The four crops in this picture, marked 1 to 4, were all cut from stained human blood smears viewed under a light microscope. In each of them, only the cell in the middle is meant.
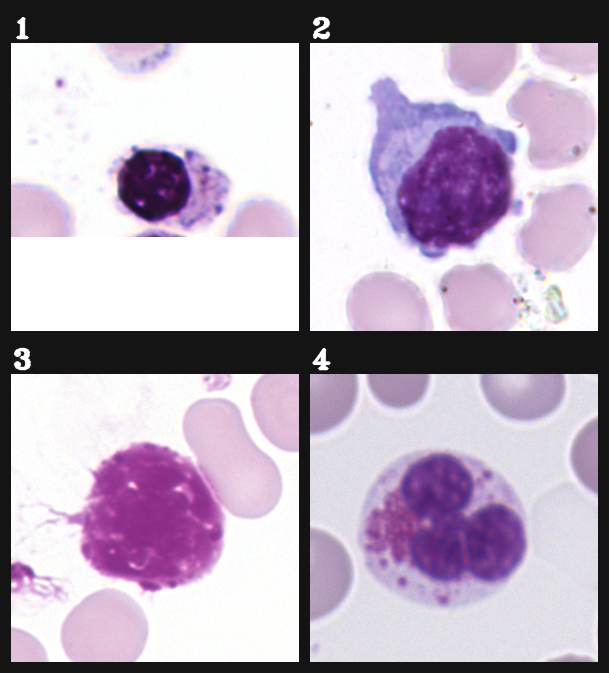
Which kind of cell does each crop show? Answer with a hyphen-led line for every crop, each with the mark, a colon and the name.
- 1: normoblast
- 2: plasma cell
- 3: smudge cell
- 4: eosinophil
